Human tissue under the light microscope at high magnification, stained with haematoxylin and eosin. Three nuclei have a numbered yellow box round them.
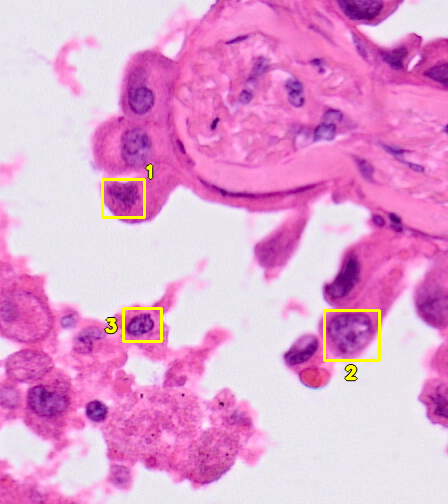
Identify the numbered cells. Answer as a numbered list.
1. carcinoma cell
2. carcinoma cell
3. macrophage or monocyte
